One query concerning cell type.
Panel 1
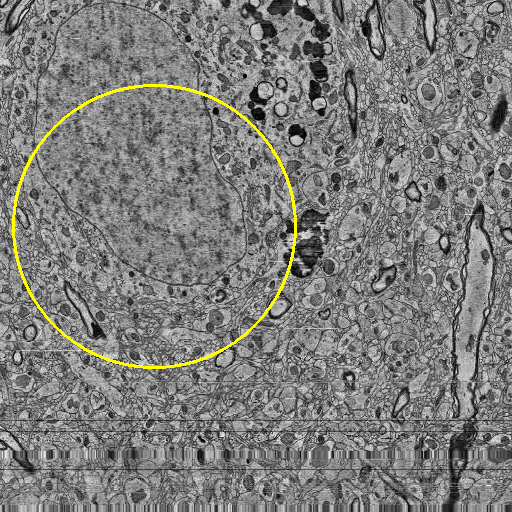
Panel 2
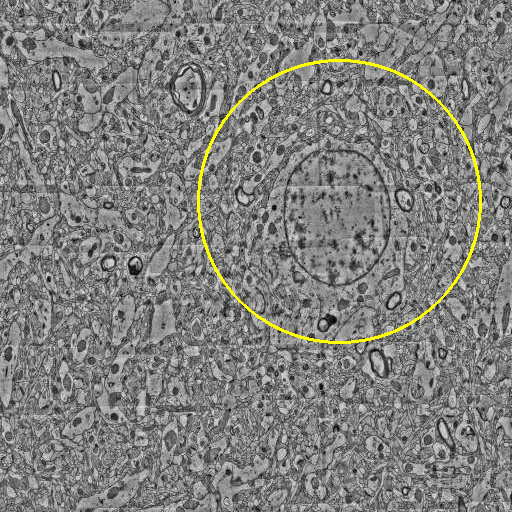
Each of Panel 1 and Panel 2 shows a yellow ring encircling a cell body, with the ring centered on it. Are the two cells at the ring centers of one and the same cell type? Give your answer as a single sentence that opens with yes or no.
Yes, the cell centered in Panel 1 and the one in Panel 2 share a type.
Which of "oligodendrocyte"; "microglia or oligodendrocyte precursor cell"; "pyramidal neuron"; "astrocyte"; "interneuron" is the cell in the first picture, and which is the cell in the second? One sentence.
Both pictures show a pyramidal neuron at the centre of the ring.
